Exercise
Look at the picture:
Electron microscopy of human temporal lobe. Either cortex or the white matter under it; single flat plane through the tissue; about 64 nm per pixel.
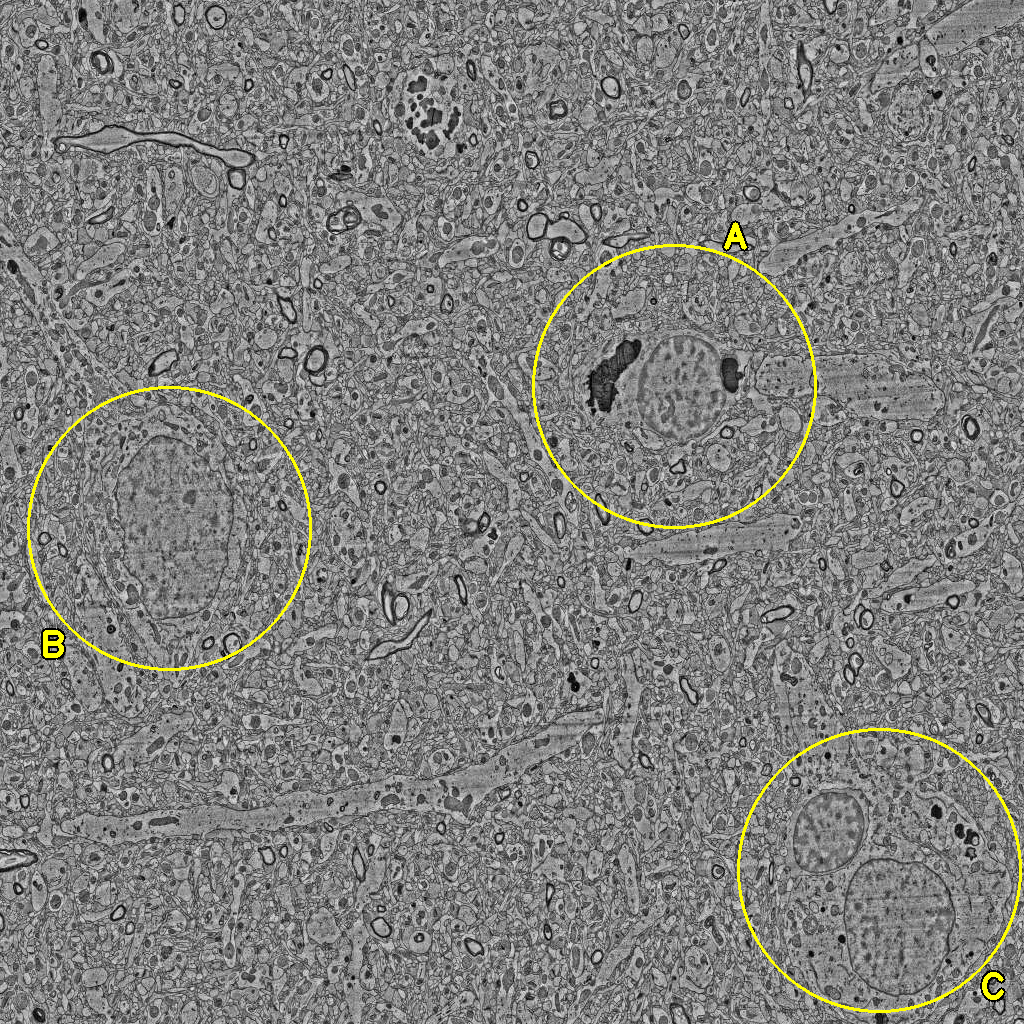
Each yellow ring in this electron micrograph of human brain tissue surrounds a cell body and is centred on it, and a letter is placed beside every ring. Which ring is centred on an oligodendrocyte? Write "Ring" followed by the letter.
Ring A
